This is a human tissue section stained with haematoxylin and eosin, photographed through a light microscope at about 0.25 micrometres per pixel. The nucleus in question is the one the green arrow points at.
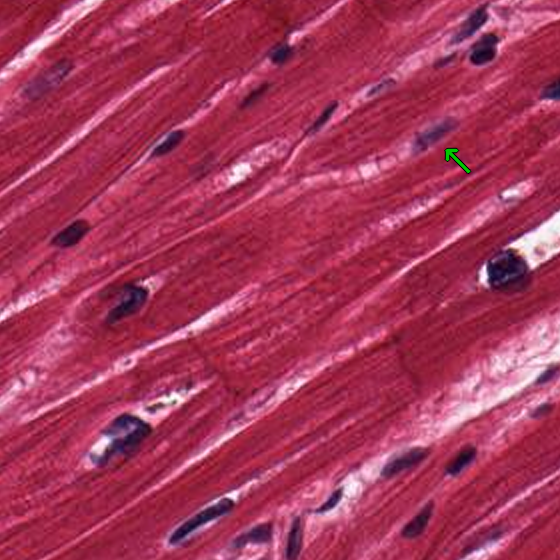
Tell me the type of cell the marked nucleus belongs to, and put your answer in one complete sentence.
A nucleus belonging to a cardiomyocyte is the one marked.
